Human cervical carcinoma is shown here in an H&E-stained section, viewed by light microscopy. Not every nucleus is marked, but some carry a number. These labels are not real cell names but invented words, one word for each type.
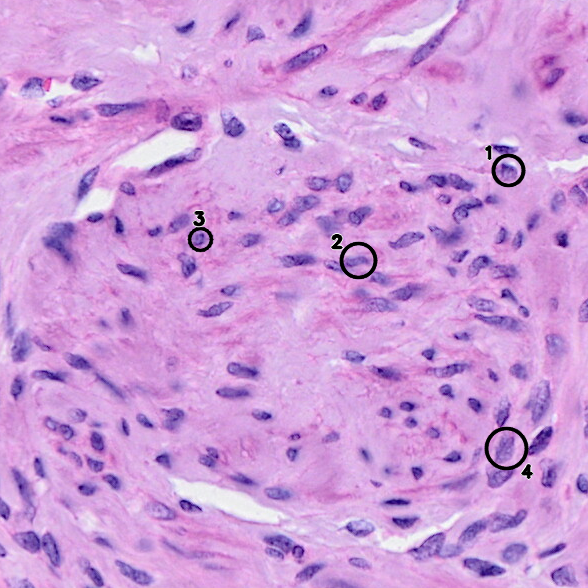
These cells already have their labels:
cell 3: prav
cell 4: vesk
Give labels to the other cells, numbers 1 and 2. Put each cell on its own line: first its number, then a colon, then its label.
1: vesk
2: prav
